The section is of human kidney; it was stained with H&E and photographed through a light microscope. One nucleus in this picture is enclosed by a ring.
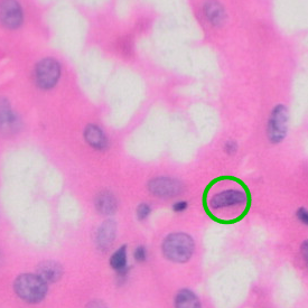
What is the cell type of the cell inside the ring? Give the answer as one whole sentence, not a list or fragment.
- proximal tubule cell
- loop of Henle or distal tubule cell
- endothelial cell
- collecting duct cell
In this tissue sample, the cell inside the ring is a proximal tubule cell.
